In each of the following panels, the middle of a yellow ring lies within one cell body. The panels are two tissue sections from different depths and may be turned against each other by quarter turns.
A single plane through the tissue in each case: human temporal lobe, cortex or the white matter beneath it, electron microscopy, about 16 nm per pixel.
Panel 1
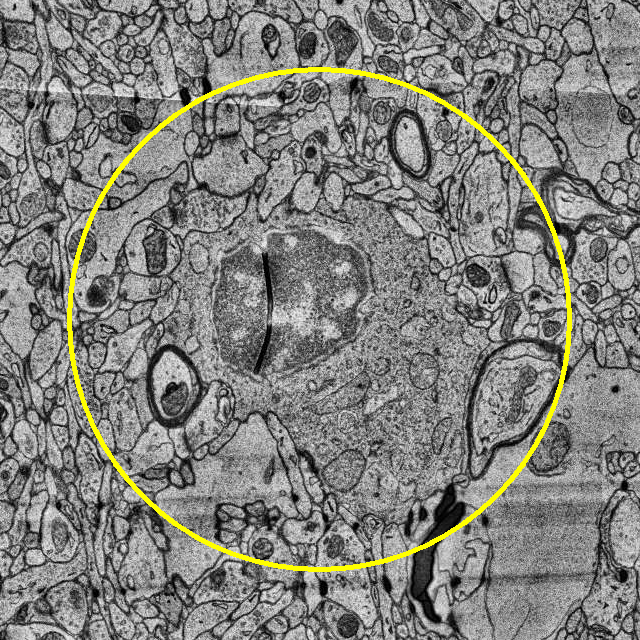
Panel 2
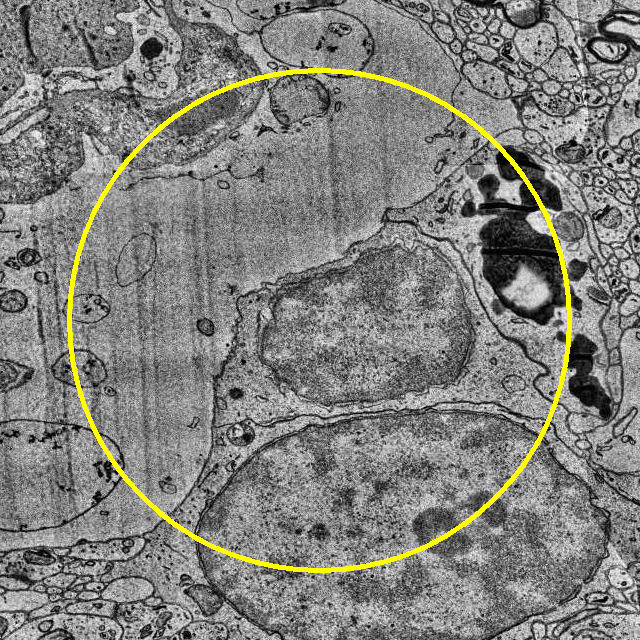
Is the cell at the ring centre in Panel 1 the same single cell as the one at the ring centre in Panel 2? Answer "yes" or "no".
no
